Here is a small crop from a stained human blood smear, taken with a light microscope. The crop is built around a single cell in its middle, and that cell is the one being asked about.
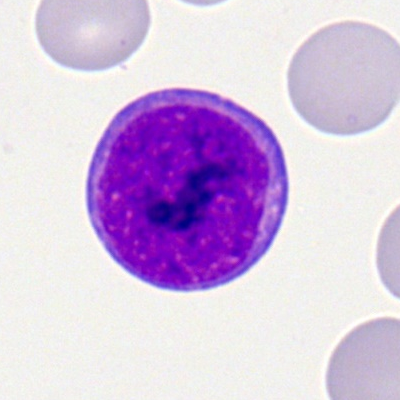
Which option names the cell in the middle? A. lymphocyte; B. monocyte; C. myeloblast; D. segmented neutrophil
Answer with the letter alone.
C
